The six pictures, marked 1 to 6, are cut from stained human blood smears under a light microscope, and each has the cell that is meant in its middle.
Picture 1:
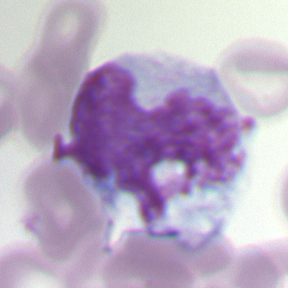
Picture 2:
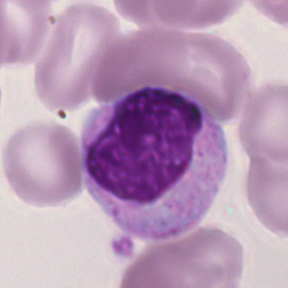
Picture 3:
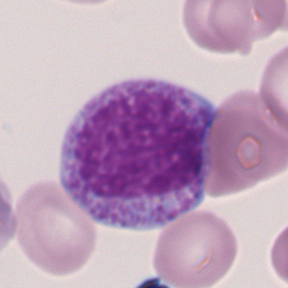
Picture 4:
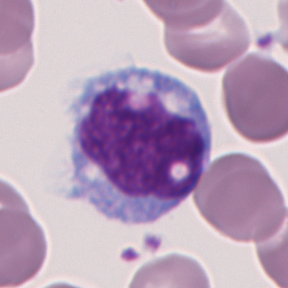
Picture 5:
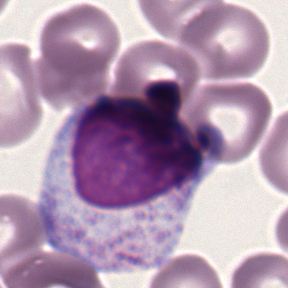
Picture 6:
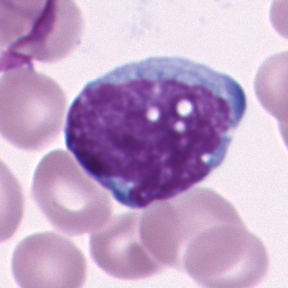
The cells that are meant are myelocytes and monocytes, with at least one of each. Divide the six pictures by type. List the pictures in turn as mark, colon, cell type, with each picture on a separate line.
1: monocyte
2: myelocyte
3: myelocyte
4: monocyte
5: myelocyte
6: monocyte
